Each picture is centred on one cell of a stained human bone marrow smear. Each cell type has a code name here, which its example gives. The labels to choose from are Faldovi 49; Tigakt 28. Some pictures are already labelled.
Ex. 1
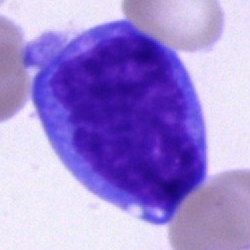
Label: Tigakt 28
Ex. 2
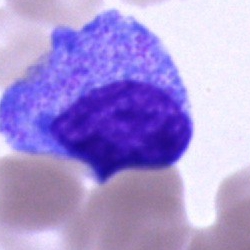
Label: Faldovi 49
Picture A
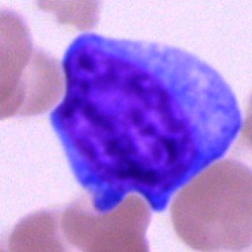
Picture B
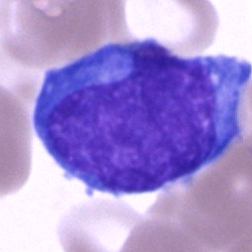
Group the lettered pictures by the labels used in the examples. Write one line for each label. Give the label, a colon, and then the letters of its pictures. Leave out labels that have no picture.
Tigakt 28: A, B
